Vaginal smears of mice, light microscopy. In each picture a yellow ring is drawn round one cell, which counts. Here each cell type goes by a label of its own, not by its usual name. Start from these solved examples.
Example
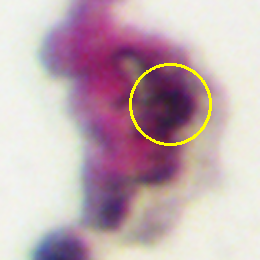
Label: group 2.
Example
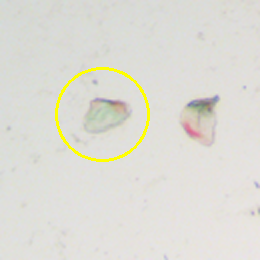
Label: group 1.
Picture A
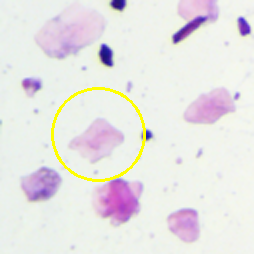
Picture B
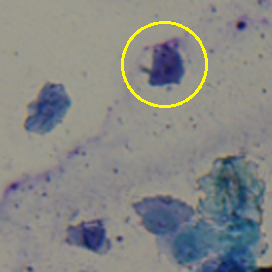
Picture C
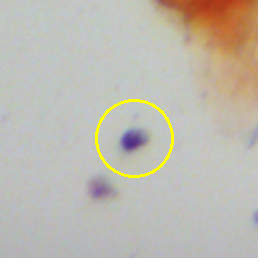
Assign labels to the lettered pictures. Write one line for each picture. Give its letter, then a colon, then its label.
A: group 1.
B: group 1.
C: group 2.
